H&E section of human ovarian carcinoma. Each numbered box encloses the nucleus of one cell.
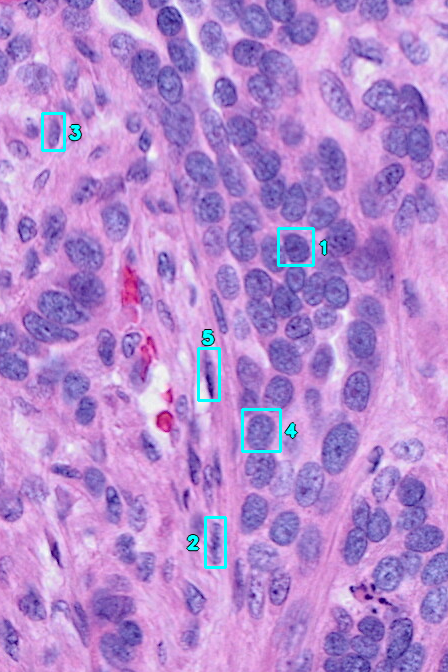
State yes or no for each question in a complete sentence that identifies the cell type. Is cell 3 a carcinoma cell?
No, the cell tagged 3 is a fibroblast, not a carcinoma cell.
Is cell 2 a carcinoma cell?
No, what number 2 shows is a fibroblast, not a carcinoma cell.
